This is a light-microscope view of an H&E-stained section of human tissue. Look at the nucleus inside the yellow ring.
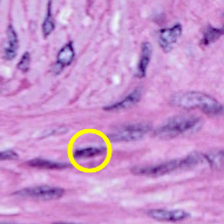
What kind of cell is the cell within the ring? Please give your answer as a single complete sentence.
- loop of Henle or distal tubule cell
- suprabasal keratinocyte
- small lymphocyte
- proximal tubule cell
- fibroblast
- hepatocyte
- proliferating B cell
For the purposes of cell typing, the cell within the ring is categorized as a fibroblast.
